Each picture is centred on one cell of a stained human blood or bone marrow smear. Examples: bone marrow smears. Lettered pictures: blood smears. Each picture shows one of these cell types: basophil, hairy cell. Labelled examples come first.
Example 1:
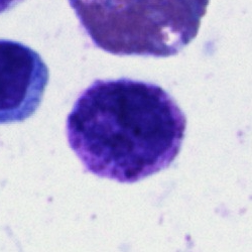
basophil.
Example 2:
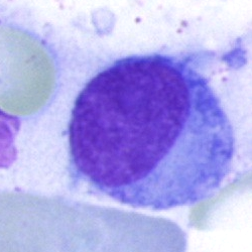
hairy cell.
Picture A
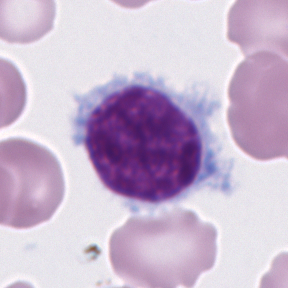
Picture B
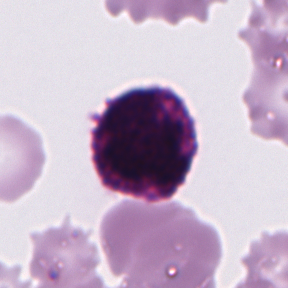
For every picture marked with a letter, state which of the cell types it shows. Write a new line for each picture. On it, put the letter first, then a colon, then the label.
A: hairy cell.
B: basophil.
